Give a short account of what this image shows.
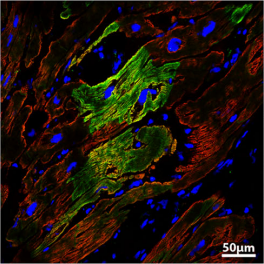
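The green cells are large and irregular, and cross-striation can still be made out within them, while their edges and some areas turn yellow where red and green overlap. The surrounding fibres are red, striated and less tightly packed than in healthy muscle, with dark gaps between them. Blue nuclei lie scattered between and within the fibres, some large and irregular inside the muscle cells.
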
